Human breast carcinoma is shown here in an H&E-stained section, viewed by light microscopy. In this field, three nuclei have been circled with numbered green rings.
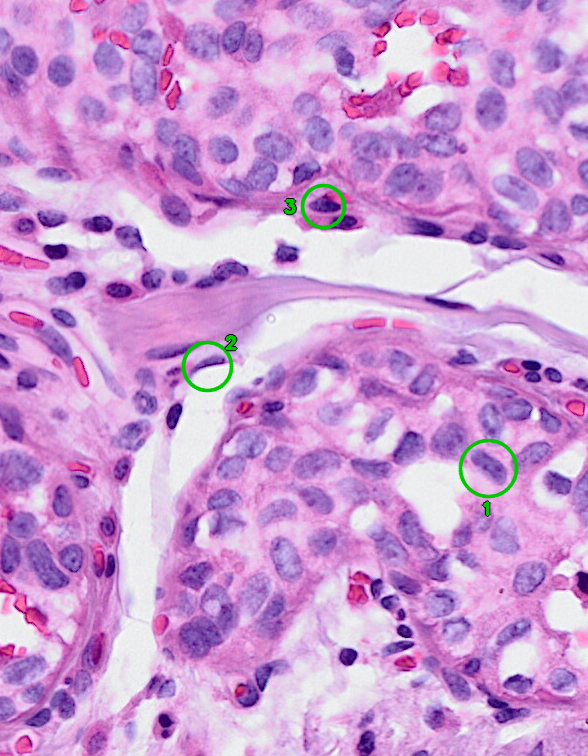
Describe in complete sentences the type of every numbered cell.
Cell 1 is a carcinoma cell. Cell 2 is a fibroblast. Cell 3 is an endothelial cell.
